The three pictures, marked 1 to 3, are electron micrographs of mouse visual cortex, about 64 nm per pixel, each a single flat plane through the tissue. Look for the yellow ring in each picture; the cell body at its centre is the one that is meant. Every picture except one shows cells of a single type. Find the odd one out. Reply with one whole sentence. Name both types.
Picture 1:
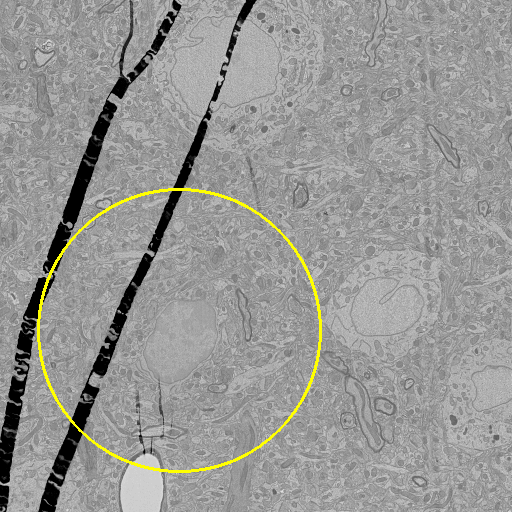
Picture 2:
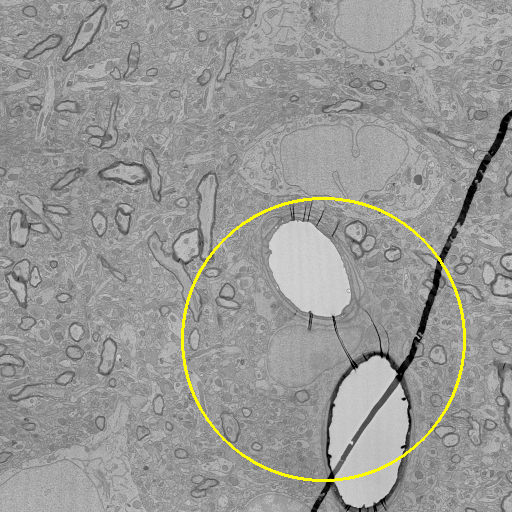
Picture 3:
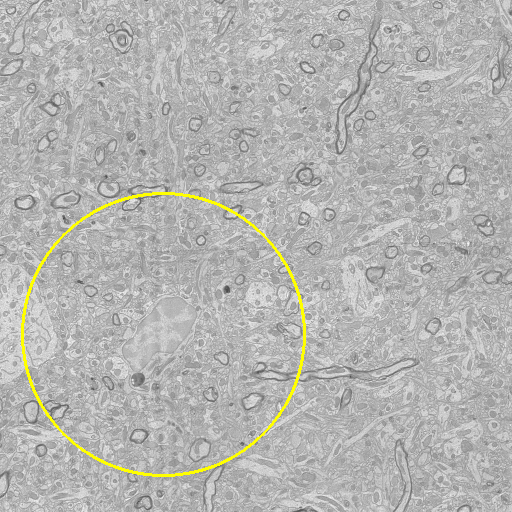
The different one is picture 2; it shows an astrocyte, whereas all the others show microglial cells.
